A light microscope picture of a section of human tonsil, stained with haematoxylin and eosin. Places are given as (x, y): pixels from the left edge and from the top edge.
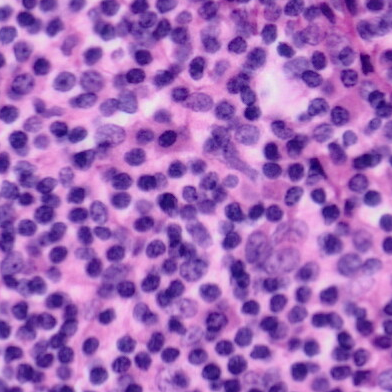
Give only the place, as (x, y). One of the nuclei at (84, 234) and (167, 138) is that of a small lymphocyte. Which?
(84, 234)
